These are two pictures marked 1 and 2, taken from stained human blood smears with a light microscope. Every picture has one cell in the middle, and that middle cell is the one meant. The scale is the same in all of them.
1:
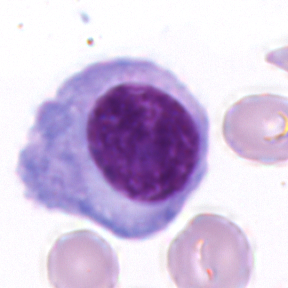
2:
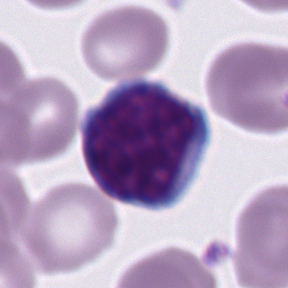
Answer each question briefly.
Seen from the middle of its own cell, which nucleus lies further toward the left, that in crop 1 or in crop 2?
2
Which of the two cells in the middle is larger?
1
